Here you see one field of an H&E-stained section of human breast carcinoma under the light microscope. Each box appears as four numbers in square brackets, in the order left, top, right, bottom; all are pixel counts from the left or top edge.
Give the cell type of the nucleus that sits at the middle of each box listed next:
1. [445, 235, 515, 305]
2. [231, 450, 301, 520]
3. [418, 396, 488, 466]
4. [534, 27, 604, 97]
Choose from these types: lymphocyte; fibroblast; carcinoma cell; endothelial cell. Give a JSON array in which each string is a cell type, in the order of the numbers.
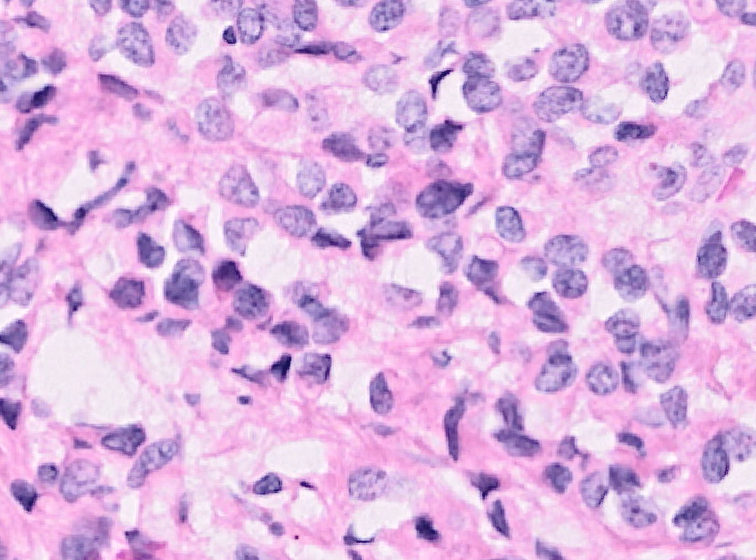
["carcinoma cell", "lymphocyte", "endothelial cell", "carcinoma cell"]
